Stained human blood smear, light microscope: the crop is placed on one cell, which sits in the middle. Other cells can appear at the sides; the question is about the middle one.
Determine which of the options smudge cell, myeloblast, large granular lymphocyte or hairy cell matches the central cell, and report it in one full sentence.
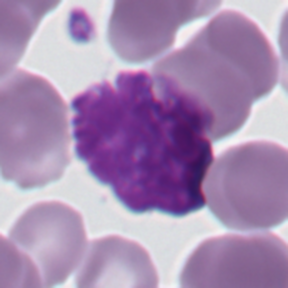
Centred in the crop is a smudge cell.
